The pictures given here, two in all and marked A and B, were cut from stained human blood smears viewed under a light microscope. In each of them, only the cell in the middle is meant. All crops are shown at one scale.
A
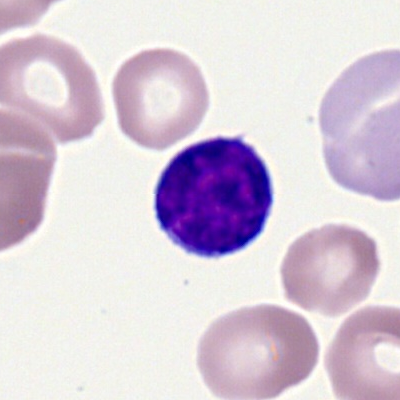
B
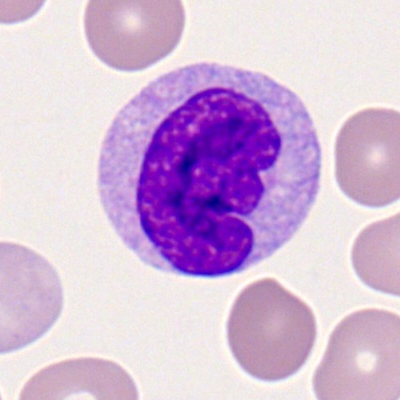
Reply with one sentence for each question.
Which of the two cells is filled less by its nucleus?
In picture B the nucleus takes up the smaller part of its cell.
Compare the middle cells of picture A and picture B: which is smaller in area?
Picture A holds the smaller cell, since the cell in picture B covers about 3 times as much area.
